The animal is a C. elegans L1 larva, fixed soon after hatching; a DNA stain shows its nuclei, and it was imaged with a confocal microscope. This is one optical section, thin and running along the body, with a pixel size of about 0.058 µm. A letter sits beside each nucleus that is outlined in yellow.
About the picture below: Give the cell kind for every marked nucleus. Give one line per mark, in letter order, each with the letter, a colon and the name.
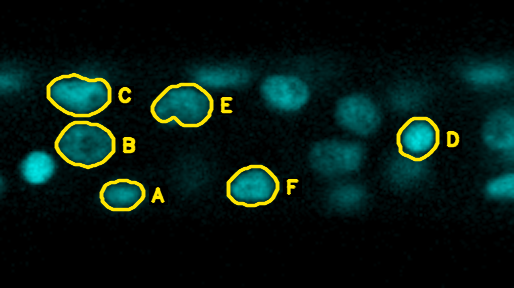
A: body wall muscle cell
B: hypodermal cell (hyp)
C: P cell (ventral epidermal blast cell)
D: neuron
E: seam cell
F: body wall muscle cell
